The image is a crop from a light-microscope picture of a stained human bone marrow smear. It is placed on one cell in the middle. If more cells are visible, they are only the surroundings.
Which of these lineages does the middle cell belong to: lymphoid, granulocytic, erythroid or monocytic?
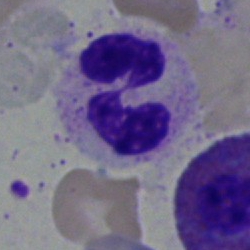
granulocytic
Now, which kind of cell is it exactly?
segmented neutrophil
